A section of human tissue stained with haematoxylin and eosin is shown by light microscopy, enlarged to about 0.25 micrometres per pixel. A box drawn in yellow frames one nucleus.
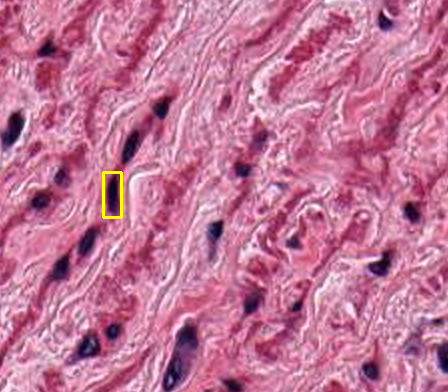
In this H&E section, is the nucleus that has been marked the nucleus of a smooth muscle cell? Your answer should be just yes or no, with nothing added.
yes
